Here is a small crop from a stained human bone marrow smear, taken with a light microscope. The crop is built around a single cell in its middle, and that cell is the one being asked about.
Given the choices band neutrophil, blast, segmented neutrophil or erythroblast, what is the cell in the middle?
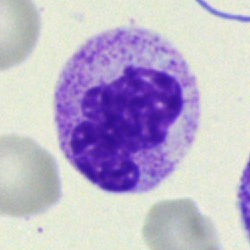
segmented neutrophil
